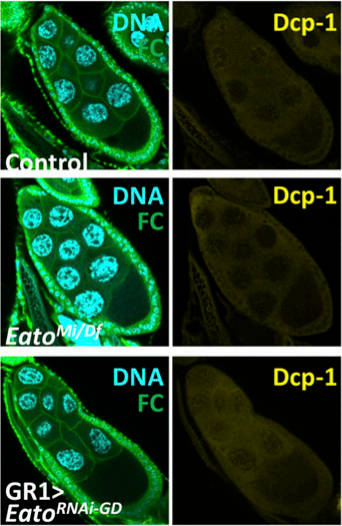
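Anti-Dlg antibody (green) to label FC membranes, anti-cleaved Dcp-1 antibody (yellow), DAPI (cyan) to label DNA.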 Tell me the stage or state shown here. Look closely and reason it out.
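Healthy egg chambers. Large cyan nuclei with dispersed chromatin sit in the centre of each chamber. A continuous green-outlined cell layer surrounds each chamber. The yellow channel is faint and even throughout.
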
